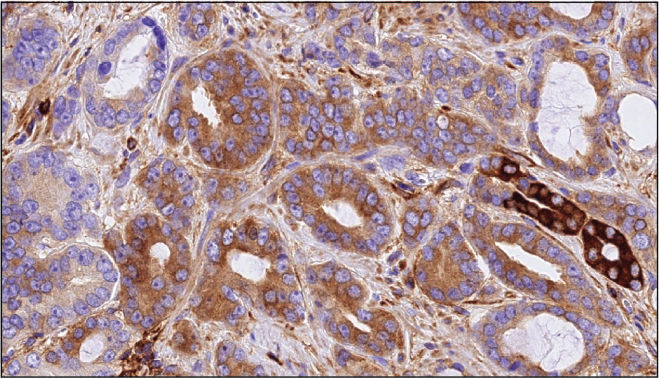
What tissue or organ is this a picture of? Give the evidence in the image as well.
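Prostate cancer. Crowded small glands lined by epithelial cells with round nuclei. Glands lie close together with little intervening stroma. Some lumens contain pale secretions.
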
